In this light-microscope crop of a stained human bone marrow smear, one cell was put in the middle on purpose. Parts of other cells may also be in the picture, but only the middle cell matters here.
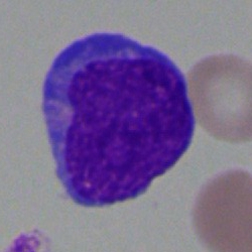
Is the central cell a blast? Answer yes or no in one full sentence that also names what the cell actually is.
Yes, the cell at the very centre of the crop is a blast.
